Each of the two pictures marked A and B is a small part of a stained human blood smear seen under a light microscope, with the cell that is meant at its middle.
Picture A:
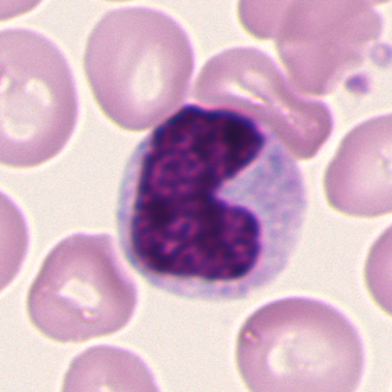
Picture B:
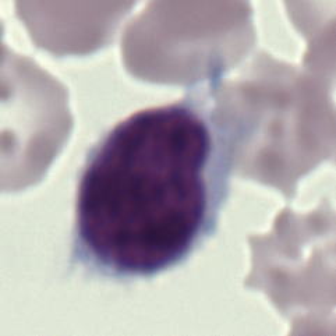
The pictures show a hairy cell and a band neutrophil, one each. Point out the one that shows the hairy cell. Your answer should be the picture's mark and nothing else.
B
